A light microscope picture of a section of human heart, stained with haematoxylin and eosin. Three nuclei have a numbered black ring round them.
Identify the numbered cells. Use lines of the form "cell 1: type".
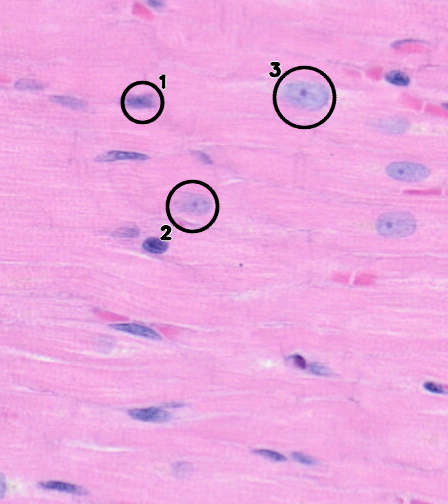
cell 1: endothelial cell
cell 2: cardiomyocyte
cell 3: cardiomyocyte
